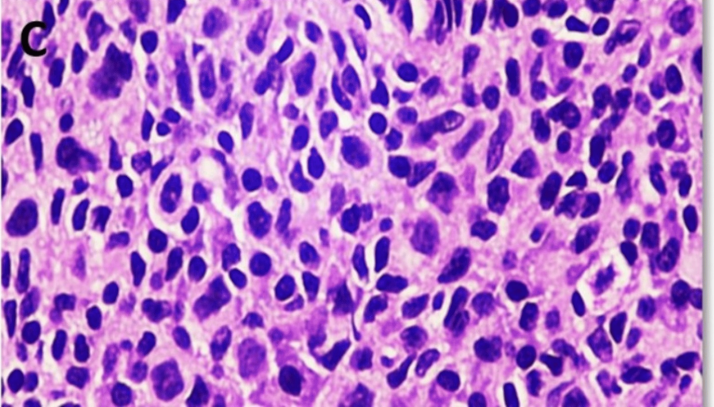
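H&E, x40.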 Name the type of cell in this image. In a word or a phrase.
Tumor cells.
